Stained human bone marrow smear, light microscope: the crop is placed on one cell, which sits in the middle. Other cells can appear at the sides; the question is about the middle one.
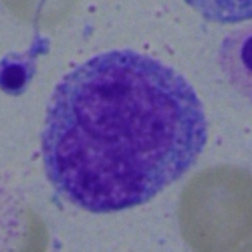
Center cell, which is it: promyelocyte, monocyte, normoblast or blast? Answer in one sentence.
Classified as a monocyte is the cell in the middle of this crop.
